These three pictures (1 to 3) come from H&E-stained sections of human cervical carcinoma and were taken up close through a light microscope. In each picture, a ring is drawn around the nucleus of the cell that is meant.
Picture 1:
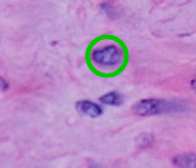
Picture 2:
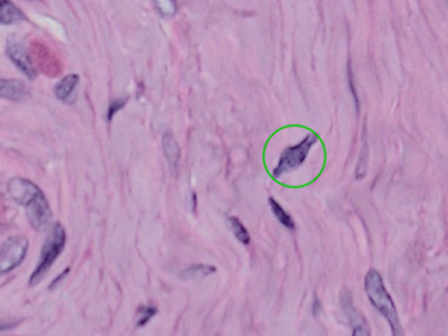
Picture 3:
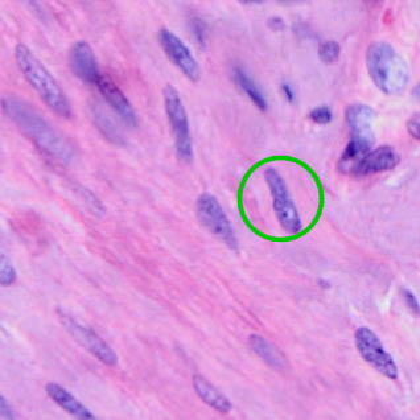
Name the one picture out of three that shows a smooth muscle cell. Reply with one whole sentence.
The cell in picture 1 is the smooth muscle cell.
